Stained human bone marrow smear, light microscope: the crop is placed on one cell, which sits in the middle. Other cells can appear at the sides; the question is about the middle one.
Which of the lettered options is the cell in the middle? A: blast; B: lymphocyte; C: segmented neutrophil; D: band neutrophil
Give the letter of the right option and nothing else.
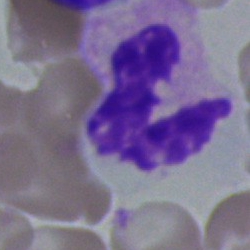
C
